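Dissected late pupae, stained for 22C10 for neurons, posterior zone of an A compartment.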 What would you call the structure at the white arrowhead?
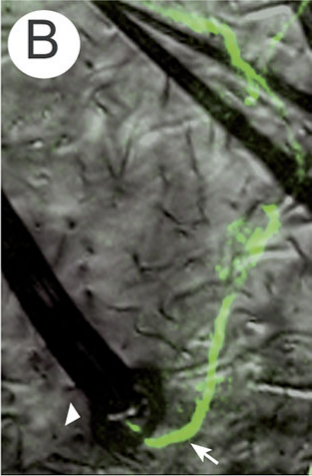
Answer: Sockets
